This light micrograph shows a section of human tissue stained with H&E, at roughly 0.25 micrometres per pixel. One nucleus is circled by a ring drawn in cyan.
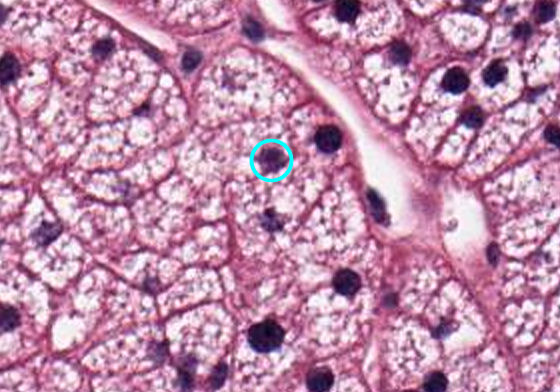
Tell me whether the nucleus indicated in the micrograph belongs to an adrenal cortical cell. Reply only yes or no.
yes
